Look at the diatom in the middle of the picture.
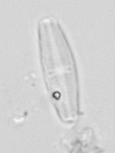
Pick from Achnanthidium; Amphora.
Achnanthidium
